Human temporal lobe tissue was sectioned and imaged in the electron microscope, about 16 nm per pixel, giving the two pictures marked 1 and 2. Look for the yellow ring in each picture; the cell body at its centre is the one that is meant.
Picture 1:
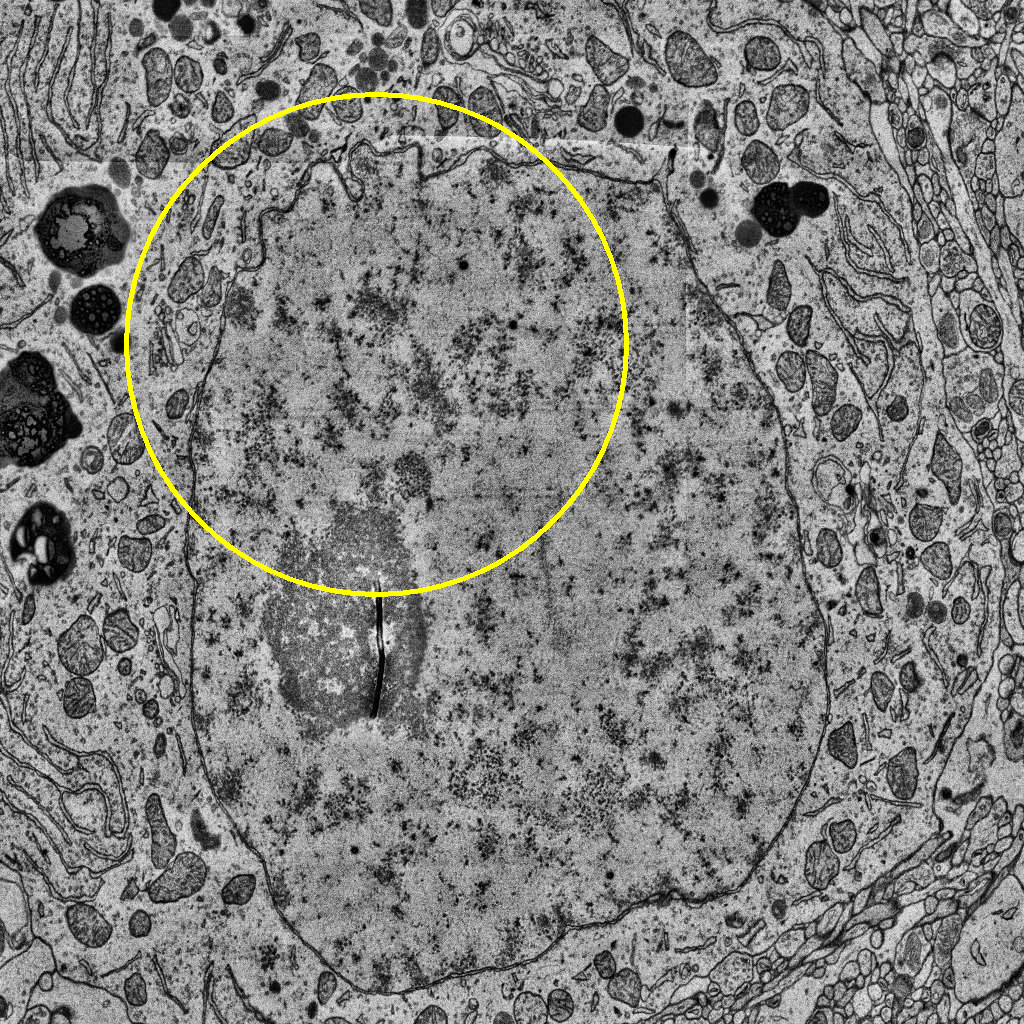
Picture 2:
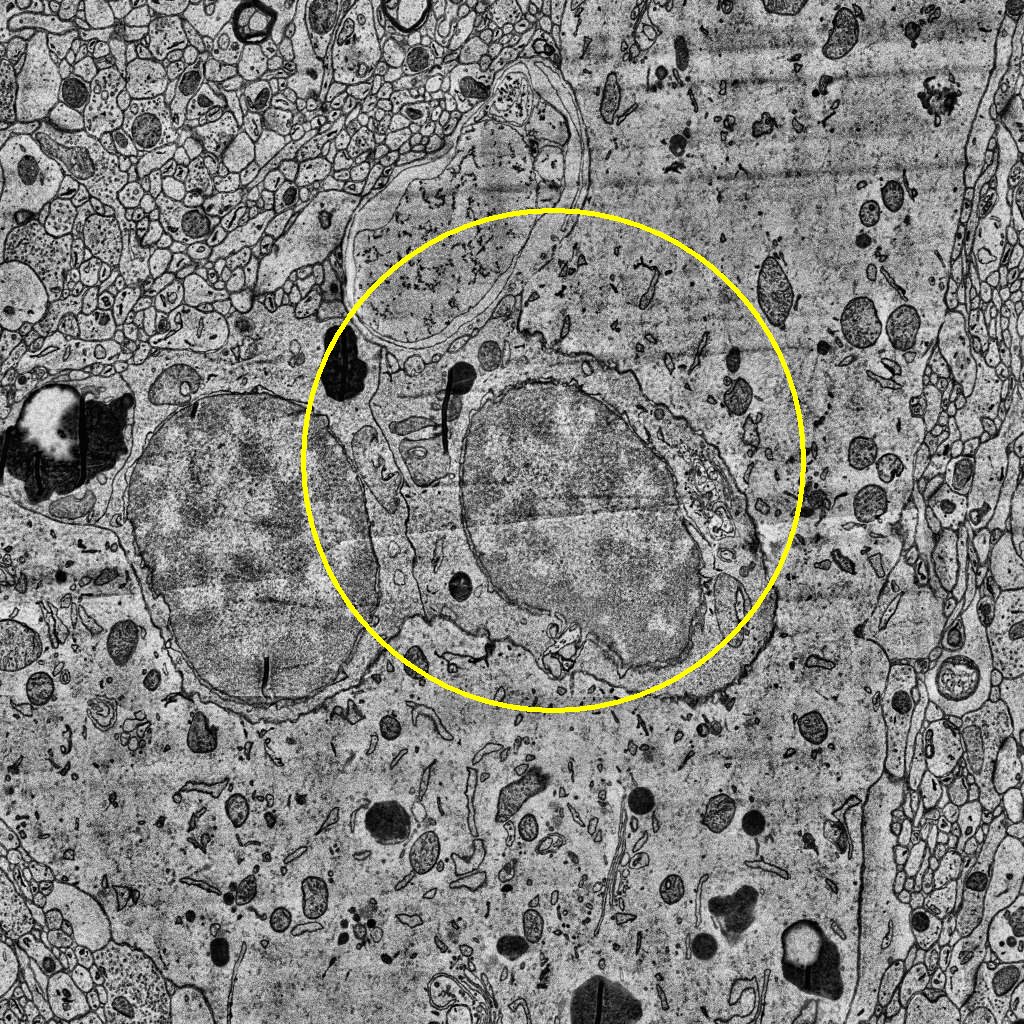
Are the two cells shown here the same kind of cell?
No, the types are not the same, since picture 1 shows an interneuron and picture 2 an oligodendrocyte.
